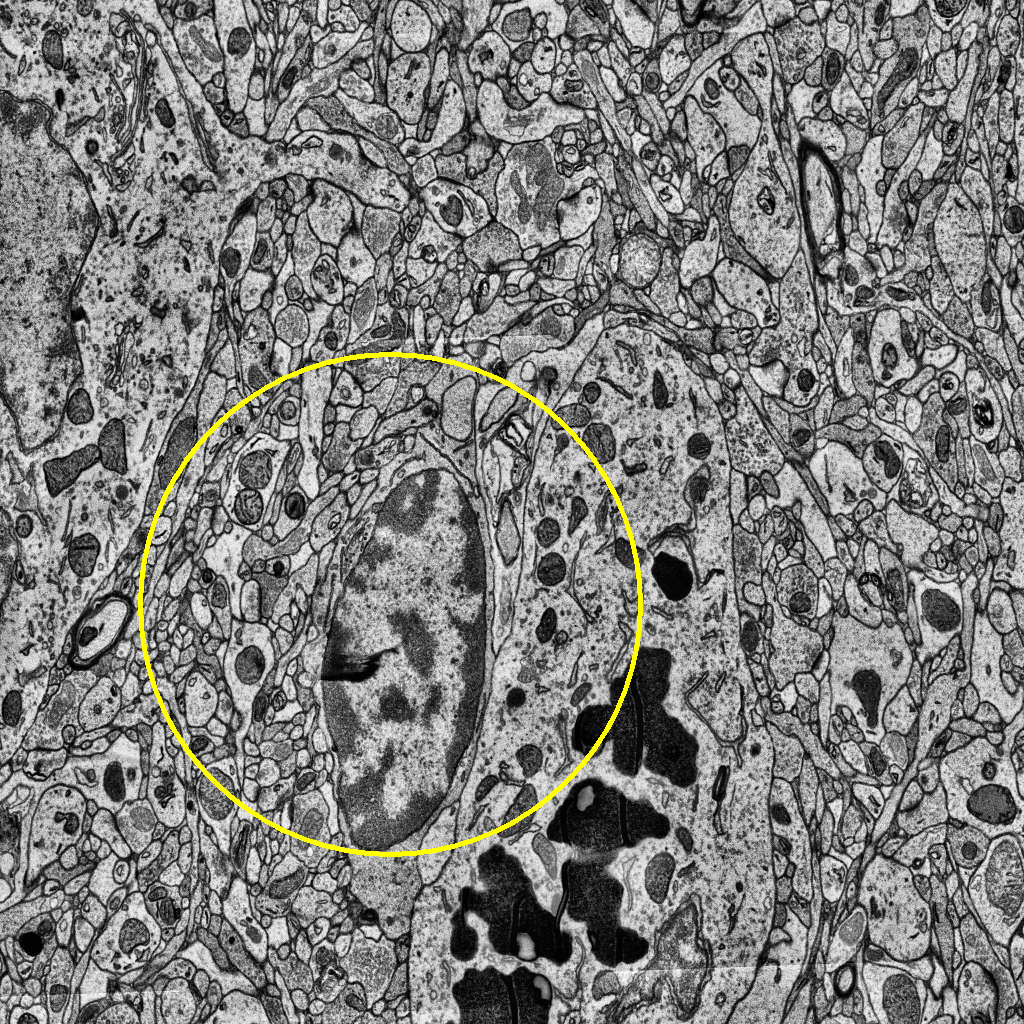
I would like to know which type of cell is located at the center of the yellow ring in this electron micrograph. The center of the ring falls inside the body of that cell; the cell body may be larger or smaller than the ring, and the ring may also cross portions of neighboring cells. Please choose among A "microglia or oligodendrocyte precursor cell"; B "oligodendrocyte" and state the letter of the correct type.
A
